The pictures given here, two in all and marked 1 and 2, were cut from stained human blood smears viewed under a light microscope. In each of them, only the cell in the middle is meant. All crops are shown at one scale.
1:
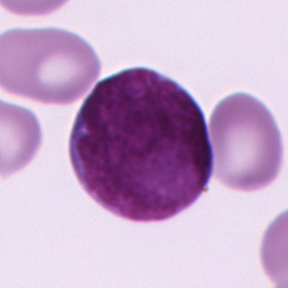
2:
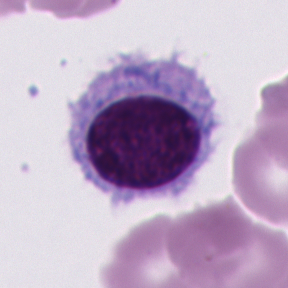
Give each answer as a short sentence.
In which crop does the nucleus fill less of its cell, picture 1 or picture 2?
The nucleus fills less of the cell in picture 2 than in picture 1.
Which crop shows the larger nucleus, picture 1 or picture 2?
Picture 1 shows the larger nucleus; it covers about 2 times the area of the nucleus in picture 2.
